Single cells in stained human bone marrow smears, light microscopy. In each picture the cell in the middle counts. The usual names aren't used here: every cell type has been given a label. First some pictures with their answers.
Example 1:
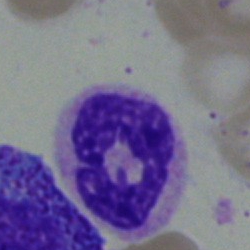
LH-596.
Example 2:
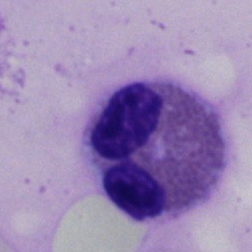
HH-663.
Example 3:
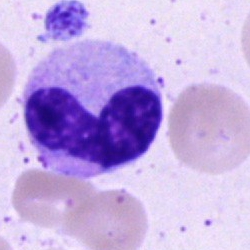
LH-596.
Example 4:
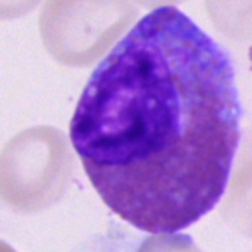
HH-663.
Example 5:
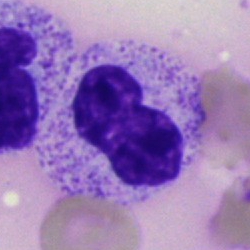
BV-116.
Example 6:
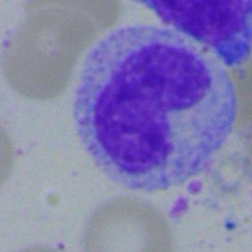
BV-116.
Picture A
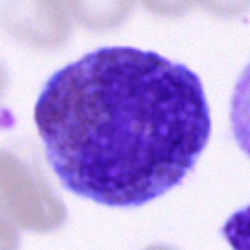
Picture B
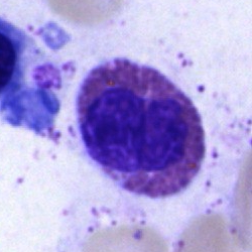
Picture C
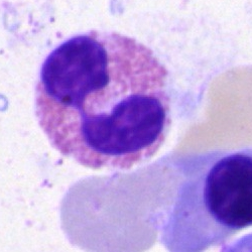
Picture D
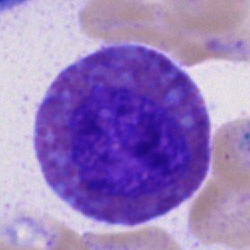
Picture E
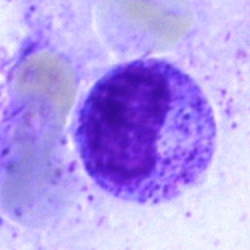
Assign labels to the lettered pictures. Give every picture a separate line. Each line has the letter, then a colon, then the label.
A: HH-663.
B: HH-663.
C: HH-663.
D: HH-663.
E: BV-116.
